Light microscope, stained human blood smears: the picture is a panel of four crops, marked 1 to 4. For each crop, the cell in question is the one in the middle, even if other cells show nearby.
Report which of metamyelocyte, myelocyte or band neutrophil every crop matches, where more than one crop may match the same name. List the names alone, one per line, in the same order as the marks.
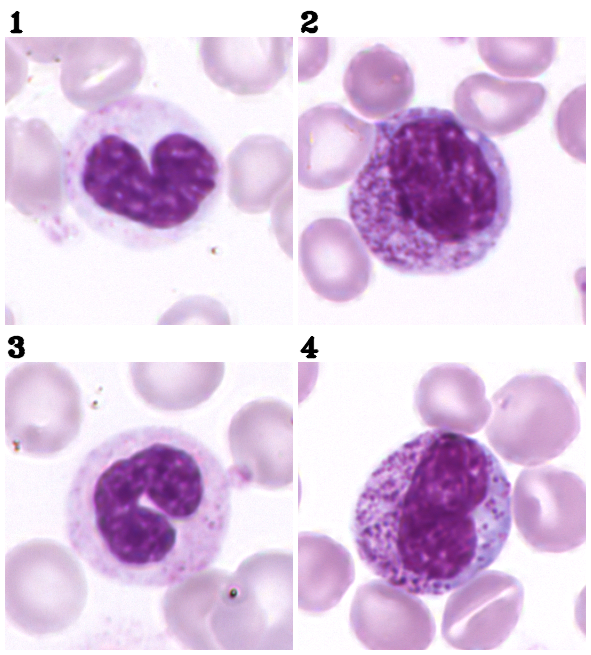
band neutrophil
myelocyte
band neutrophil
metamyelocyte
